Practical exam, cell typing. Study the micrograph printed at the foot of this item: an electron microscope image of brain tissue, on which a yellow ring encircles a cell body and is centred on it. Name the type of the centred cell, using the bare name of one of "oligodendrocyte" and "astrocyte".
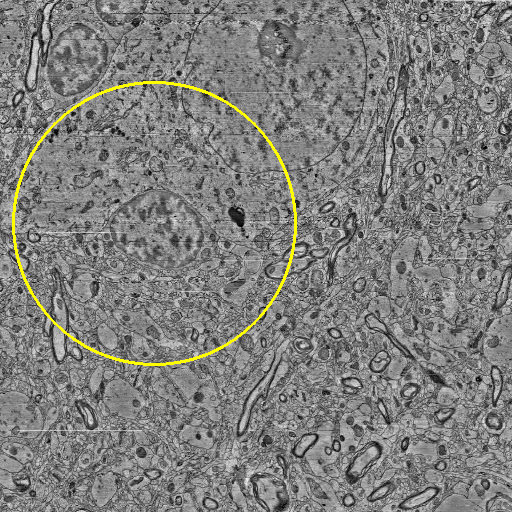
oligodendrocyte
